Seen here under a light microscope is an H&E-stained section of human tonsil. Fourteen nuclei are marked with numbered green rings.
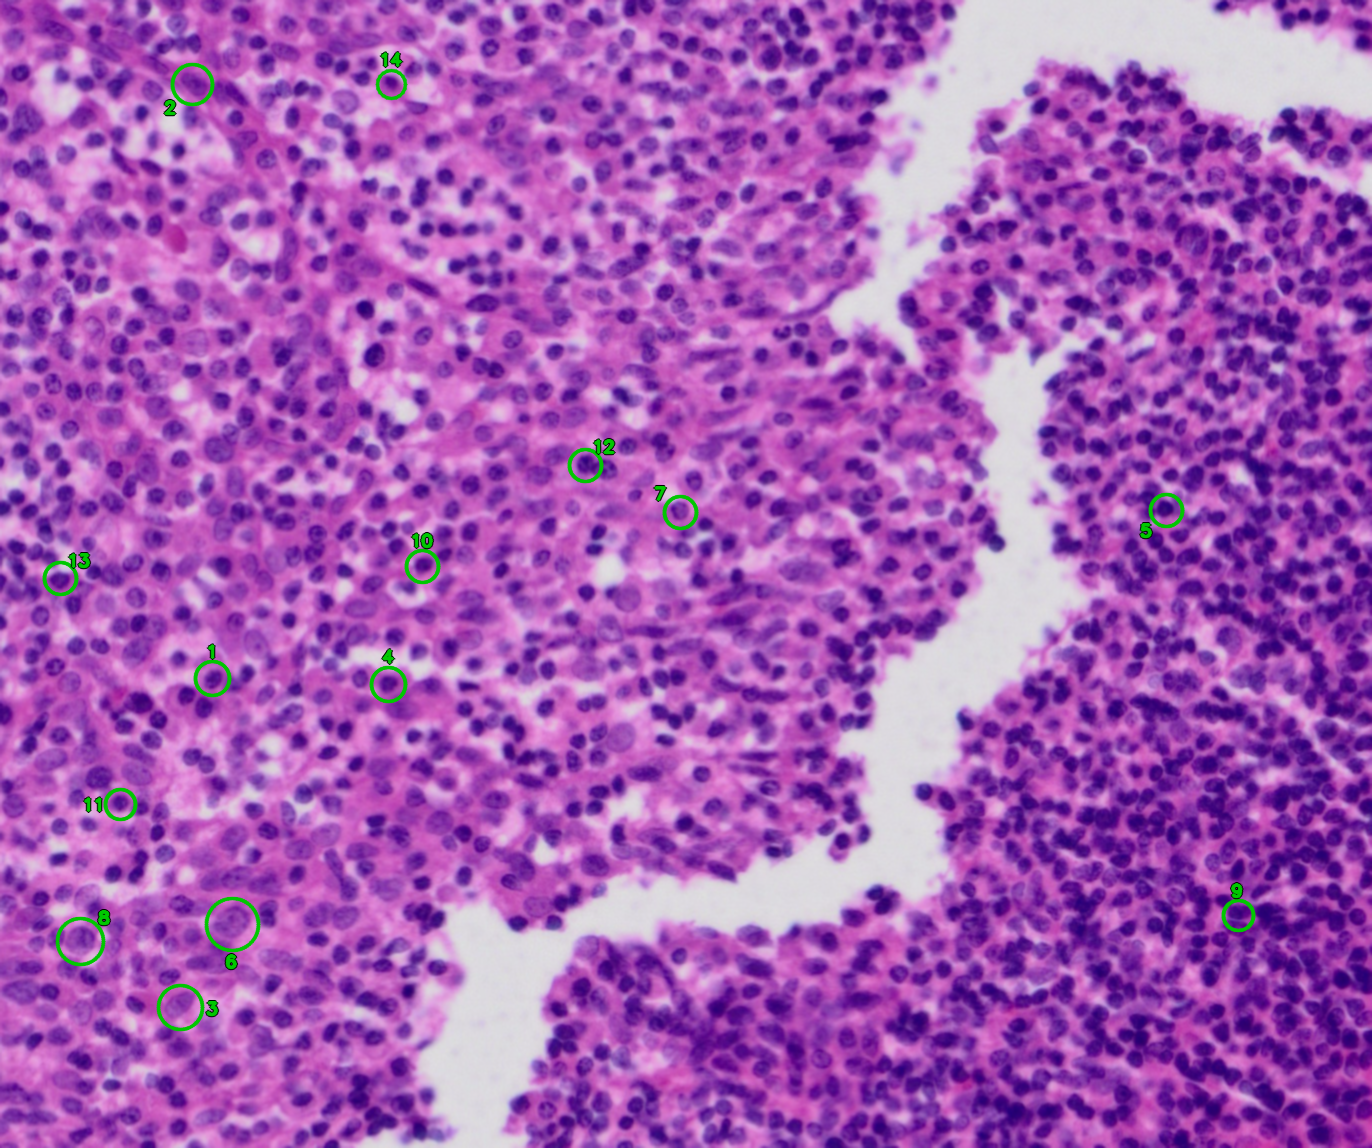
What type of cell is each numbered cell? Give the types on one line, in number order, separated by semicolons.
plasma cell; squamous epithelial cell; squamous epithelial cell; plasma cell; small lymphocyte; squamous epithelial cell; plasma cell; squamous epithelial cell; small lymphocyte; plasma cell; plasma cell; plasma cell; plasma cell; plasma cell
